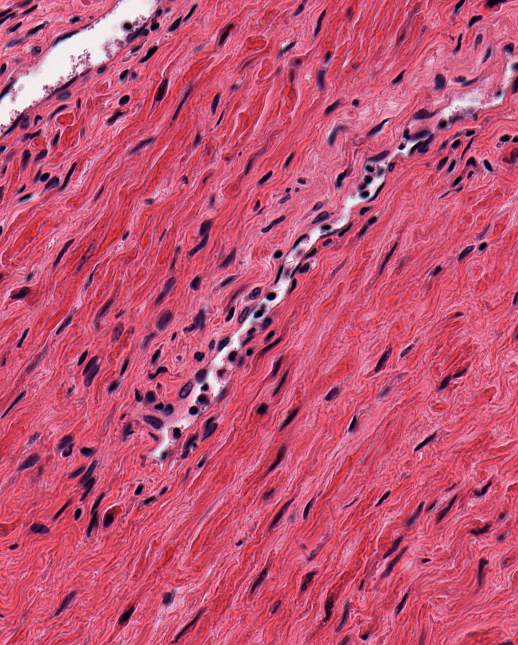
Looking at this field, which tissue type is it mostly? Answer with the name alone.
fibromuscular stroma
